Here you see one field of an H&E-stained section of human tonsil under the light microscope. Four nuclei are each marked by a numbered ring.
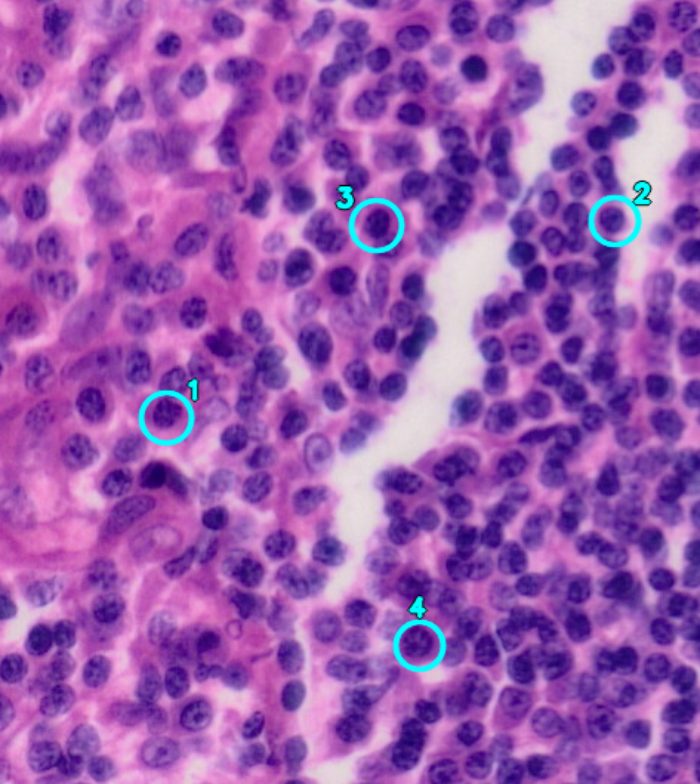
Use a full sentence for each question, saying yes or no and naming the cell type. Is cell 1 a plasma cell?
Yes, the cell denoted by 1 is a plasma cell.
